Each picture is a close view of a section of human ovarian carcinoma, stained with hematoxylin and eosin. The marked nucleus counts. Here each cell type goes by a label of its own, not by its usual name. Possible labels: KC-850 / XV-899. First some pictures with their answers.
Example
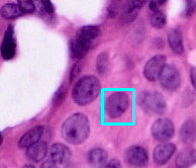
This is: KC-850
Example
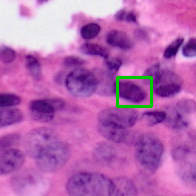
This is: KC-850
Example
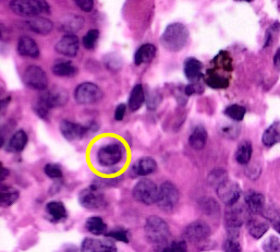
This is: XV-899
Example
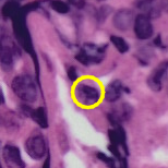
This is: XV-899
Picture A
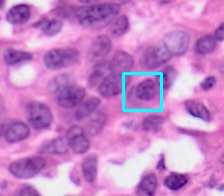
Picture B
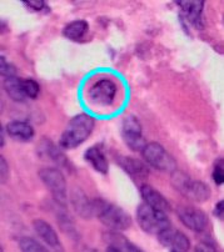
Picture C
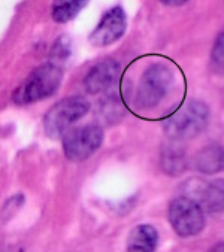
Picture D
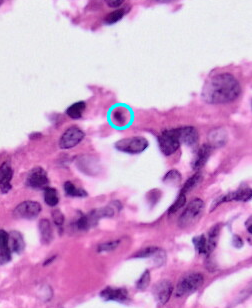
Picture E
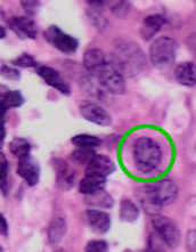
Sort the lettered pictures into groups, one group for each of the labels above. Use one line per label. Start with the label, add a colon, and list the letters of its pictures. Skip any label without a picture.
KC-850: A, C, E
XV-899: B, D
